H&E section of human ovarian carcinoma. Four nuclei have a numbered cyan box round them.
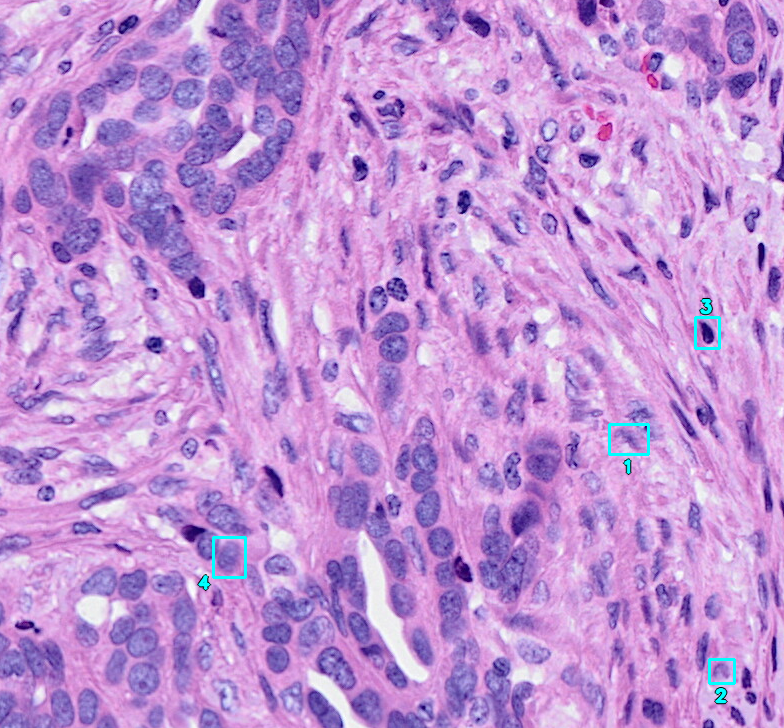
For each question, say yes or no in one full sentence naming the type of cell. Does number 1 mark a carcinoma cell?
No, cell 1 should be classed as a fibroblast, not as a carcinoma cell.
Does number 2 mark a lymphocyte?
No, cell 2 is not a lymphocyte; a fibroblast is the correct identification.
